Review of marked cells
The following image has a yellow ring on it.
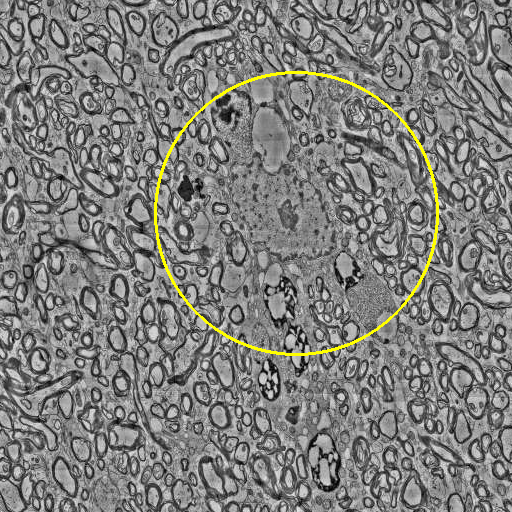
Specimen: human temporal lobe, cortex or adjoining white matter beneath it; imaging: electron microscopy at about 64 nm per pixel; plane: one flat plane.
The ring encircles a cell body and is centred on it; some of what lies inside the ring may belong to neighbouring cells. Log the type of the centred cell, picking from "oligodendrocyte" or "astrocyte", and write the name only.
astrocyte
